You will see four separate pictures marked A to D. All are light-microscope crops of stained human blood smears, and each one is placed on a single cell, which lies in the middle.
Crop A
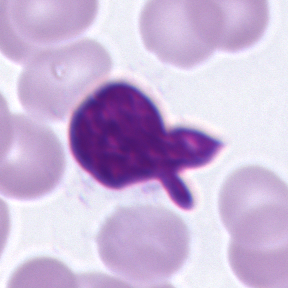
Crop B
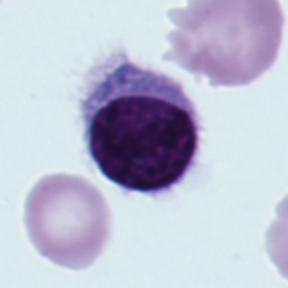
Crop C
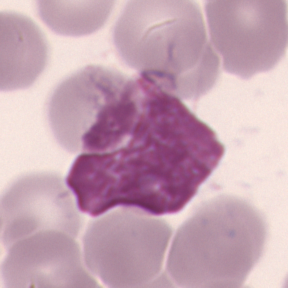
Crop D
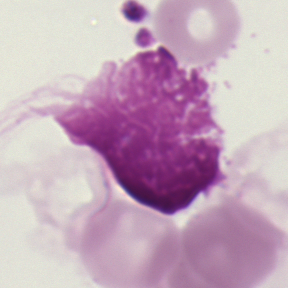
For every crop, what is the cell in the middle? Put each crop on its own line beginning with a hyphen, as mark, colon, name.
- A: smudge cell
- B: hairy cell
- C: smudge cell
- D: smudge cell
